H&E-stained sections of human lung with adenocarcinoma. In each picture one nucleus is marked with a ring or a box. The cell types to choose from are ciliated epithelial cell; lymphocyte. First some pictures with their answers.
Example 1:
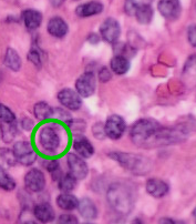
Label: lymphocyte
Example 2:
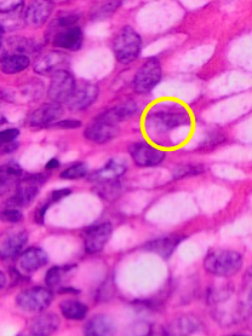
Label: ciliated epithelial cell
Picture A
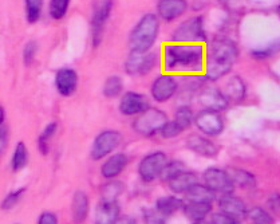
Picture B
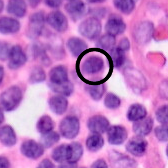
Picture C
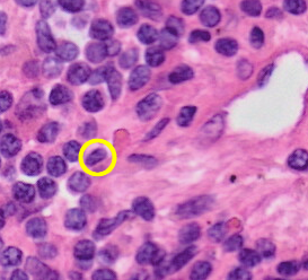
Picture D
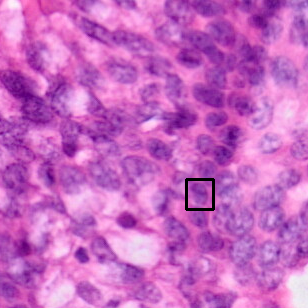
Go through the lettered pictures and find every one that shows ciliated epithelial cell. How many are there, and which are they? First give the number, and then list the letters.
2, namely A, D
